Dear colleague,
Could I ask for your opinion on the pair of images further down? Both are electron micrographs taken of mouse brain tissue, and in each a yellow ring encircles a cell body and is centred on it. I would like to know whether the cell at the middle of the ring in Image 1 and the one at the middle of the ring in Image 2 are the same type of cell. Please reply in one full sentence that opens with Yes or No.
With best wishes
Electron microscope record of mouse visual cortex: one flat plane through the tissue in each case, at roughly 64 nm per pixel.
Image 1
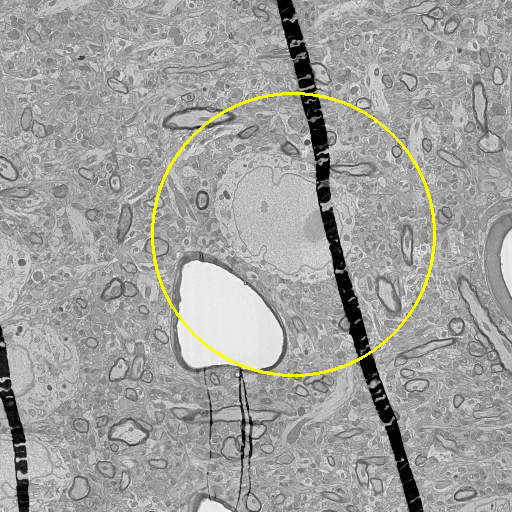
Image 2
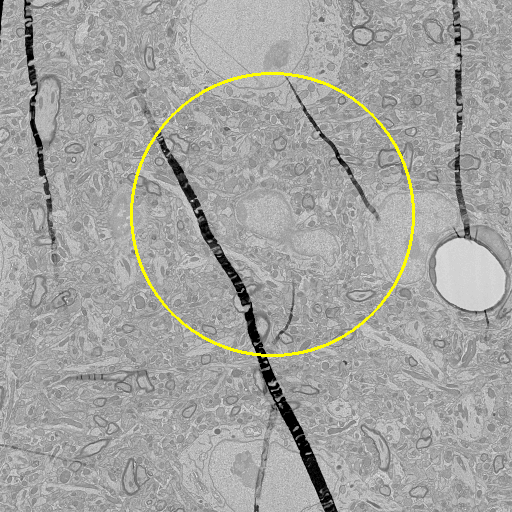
No, the cells at the ring centres in Image 1 and Image 2 are of two types.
